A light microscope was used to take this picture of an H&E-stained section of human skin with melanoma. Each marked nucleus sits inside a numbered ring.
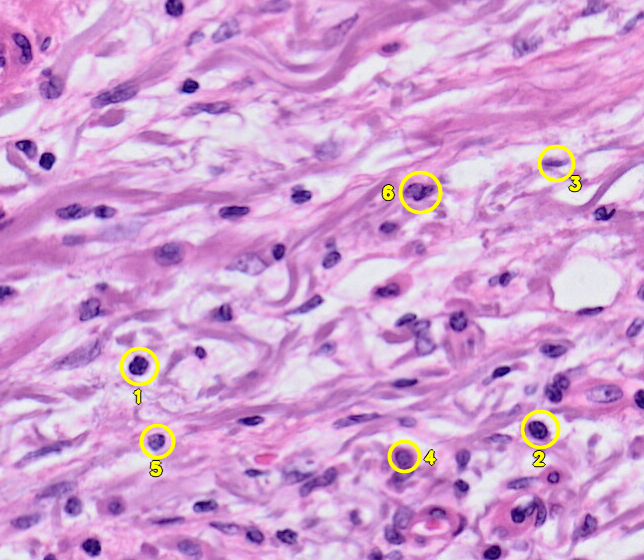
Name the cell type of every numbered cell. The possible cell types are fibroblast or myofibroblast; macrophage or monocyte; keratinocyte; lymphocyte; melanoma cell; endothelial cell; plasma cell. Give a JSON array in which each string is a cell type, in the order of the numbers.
["lymphocyte", "plasma cell", "fibroblast or myofibroblast", "endothelial cell", "lymphocyte", "macrophage or monocyte"]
